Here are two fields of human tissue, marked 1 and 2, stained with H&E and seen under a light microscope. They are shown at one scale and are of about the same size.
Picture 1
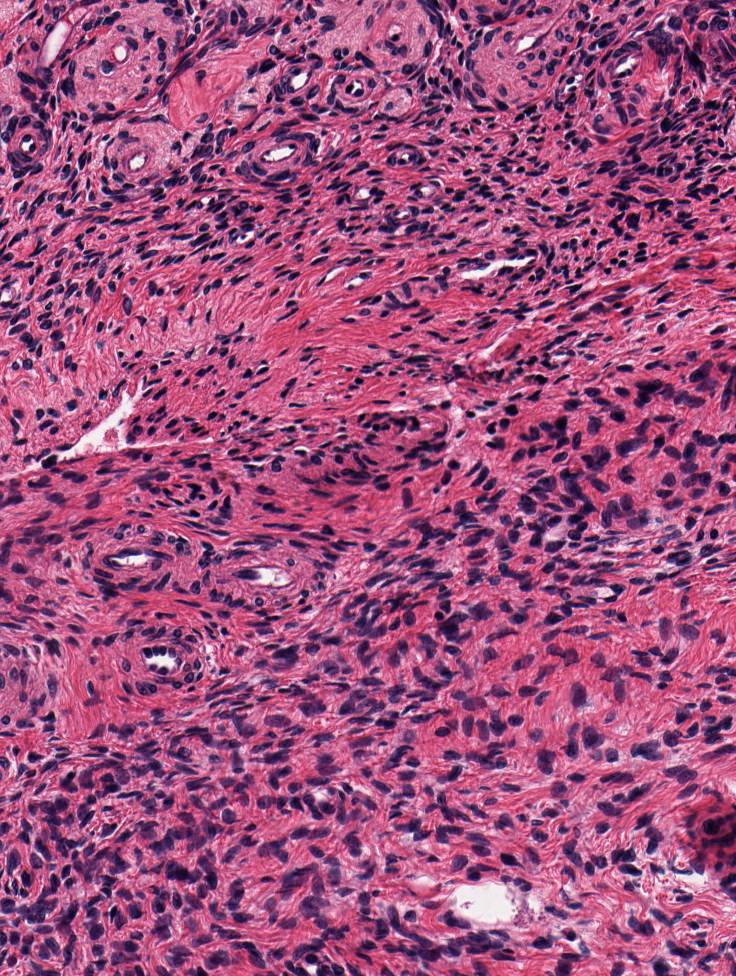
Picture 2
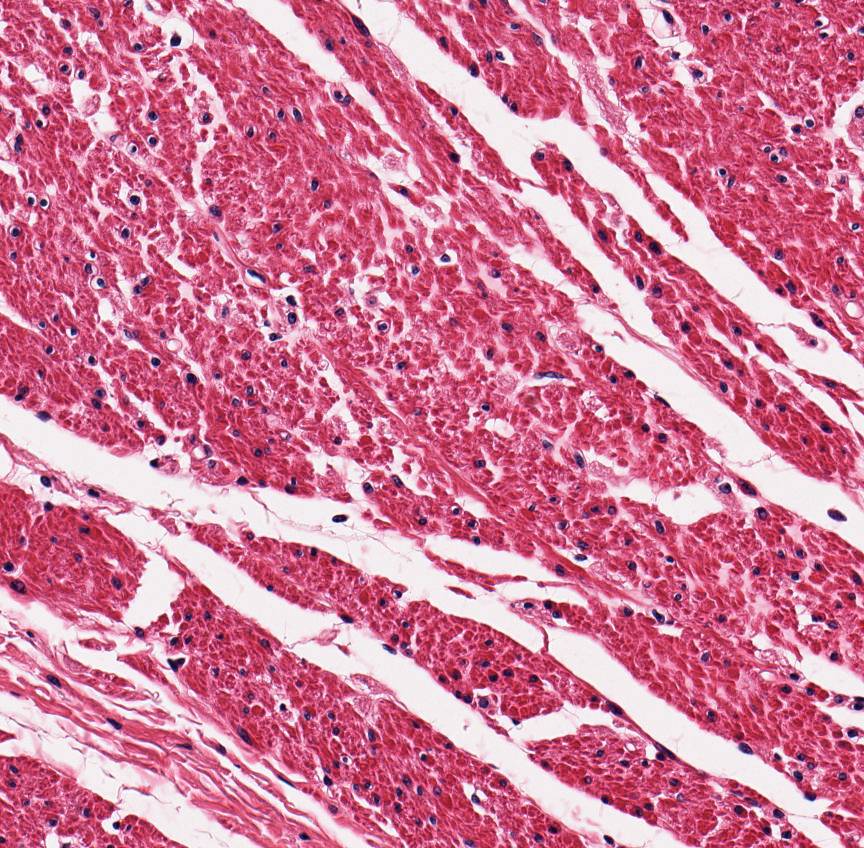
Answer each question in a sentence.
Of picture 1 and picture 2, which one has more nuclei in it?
More nuclei lie in picture 1 than in picture 2.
